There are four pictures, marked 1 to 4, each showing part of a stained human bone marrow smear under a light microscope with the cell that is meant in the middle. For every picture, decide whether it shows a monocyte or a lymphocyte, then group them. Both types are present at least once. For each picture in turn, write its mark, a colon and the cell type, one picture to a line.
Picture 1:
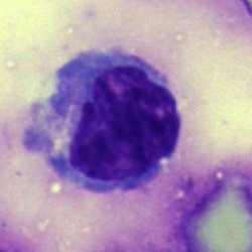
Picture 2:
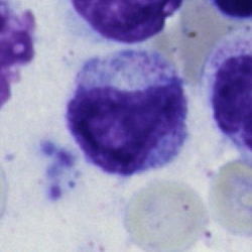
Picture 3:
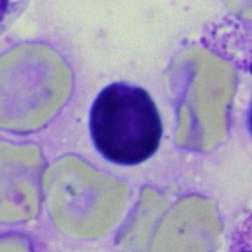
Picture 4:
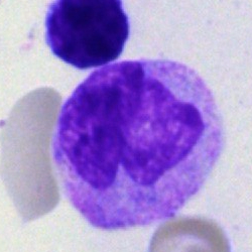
1: monocyte
2: monocyte
3: lymphocyte
4: monocyte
